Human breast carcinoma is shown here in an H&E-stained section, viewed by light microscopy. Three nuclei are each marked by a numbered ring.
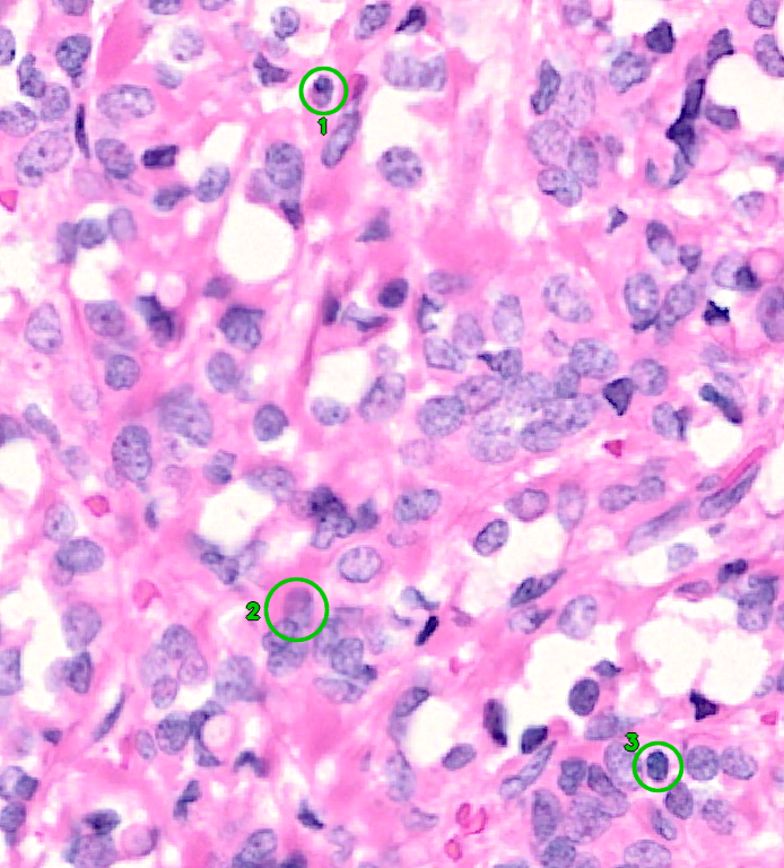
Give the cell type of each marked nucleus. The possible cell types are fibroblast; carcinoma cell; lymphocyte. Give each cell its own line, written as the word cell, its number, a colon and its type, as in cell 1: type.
cell 1: lymphocyte
cell 2: carcinoma cell
cell 3: lymphocyte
